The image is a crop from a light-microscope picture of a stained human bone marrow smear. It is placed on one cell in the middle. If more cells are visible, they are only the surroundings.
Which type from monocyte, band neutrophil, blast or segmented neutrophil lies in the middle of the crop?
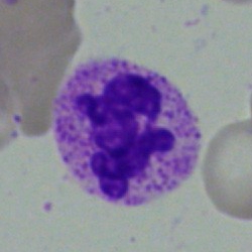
segmented neutrophil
